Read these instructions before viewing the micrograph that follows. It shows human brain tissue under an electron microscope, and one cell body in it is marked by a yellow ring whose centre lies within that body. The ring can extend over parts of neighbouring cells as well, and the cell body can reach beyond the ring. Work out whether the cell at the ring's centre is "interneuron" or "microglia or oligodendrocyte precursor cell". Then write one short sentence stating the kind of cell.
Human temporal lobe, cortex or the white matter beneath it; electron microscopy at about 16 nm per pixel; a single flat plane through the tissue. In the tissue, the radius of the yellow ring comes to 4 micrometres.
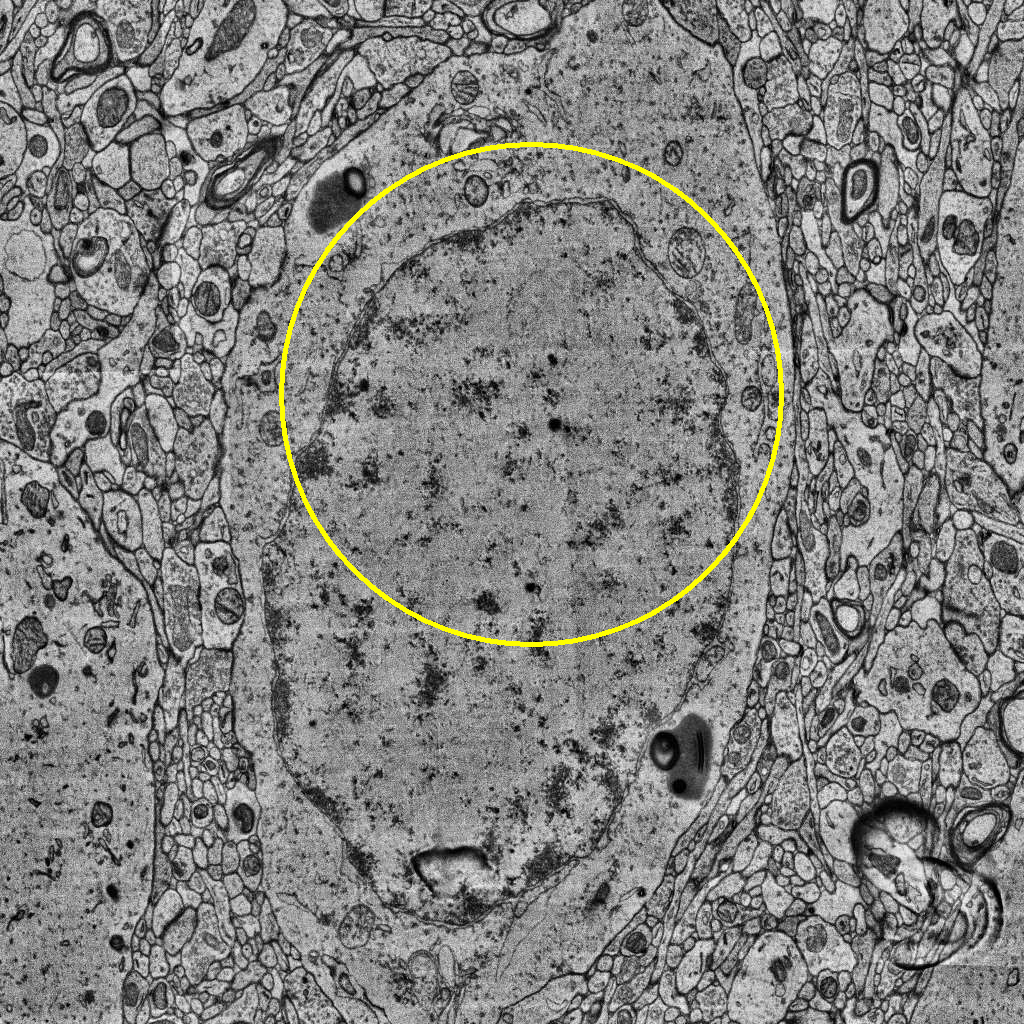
The cell at the ring's centre is an interneuron.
